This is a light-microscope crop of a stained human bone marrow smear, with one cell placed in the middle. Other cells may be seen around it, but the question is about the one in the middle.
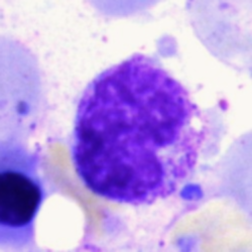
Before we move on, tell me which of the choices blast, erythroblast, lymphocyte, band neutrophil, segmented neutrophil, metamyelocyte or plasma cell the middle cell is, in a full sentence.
The middle cell in this particular crop is a metamyelocyte.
